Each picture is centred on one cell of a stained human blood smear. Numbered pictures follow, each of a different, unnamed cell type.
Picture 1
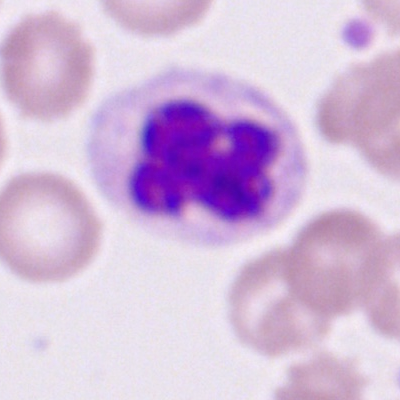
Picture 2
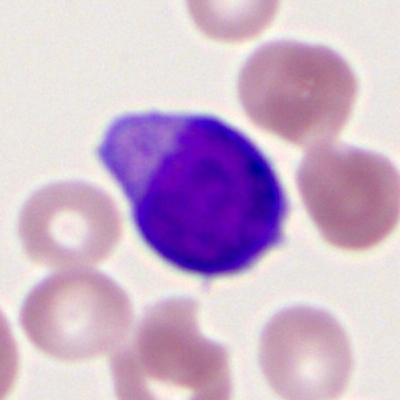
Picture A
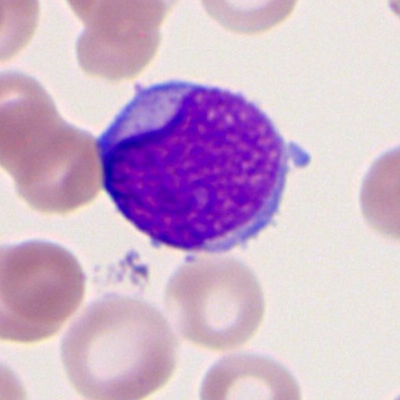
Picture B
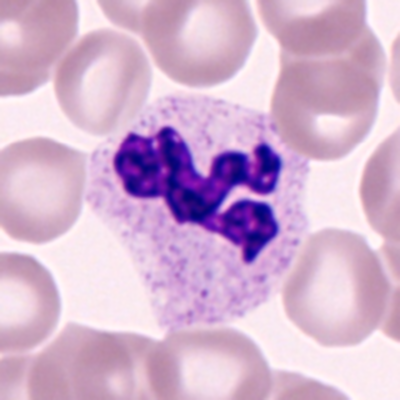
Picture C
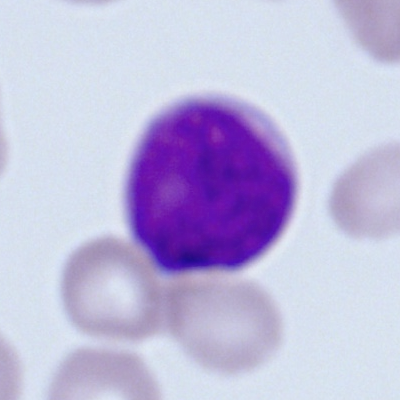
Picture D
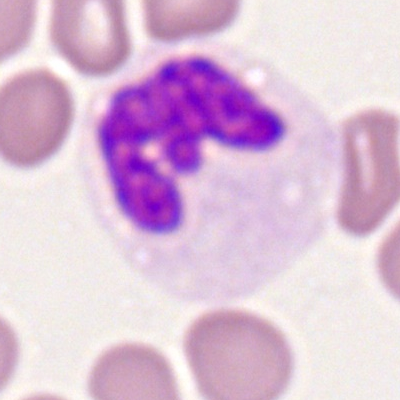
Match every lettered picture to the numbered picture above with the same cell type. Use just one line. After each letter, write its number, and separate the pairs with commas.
A 2, B 1, C 2, D 1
